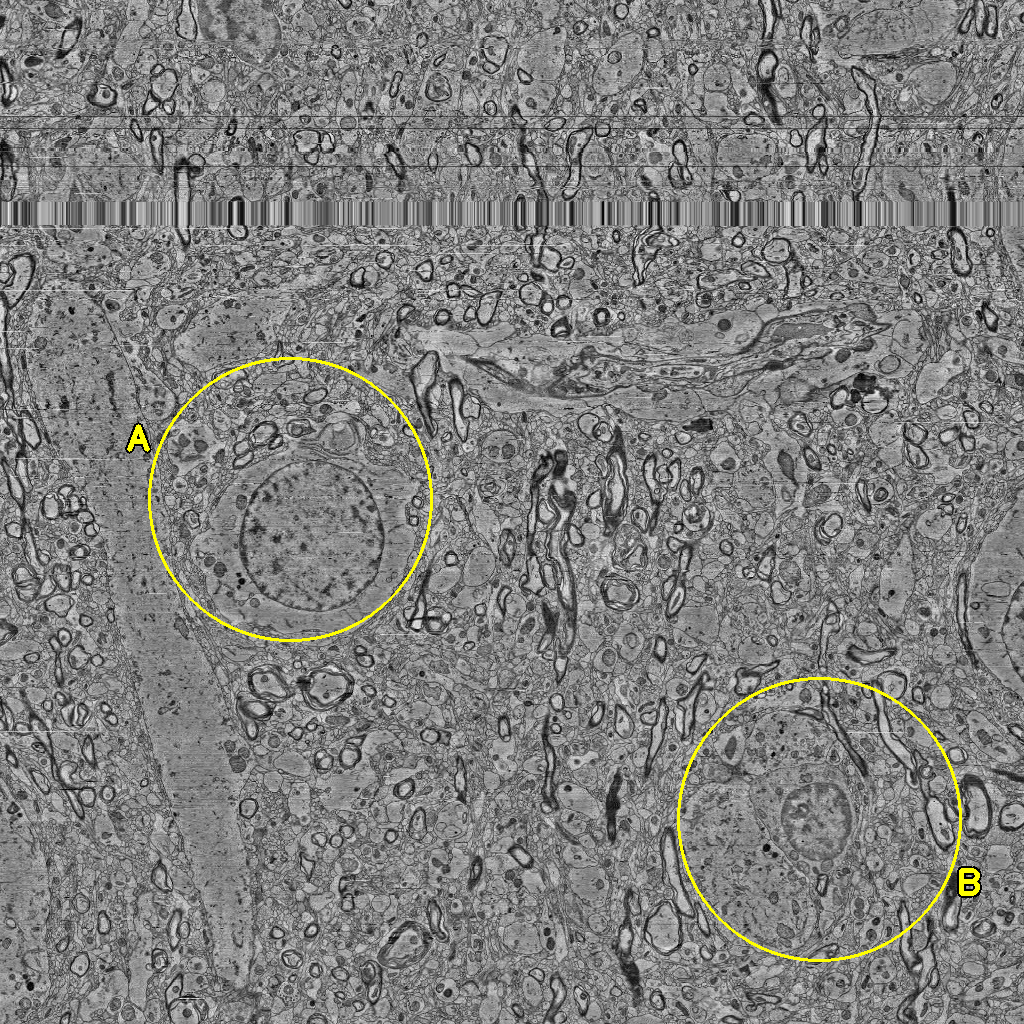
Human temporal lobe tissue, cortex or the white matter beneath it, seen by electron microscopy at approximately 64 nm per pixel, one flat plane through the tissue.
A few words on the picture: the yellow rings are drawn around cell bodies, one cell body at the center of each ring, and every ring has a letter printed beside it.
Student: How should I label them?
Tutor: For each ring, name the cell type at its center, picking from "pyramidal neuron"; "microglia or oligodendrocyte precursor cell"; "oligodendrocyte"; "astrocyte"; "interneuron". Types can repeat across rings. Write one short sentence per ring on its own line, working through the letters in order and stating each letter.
In ring A, the central cell is an astrocyte.
In ring B, the central cell is an oligodendrocyte.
